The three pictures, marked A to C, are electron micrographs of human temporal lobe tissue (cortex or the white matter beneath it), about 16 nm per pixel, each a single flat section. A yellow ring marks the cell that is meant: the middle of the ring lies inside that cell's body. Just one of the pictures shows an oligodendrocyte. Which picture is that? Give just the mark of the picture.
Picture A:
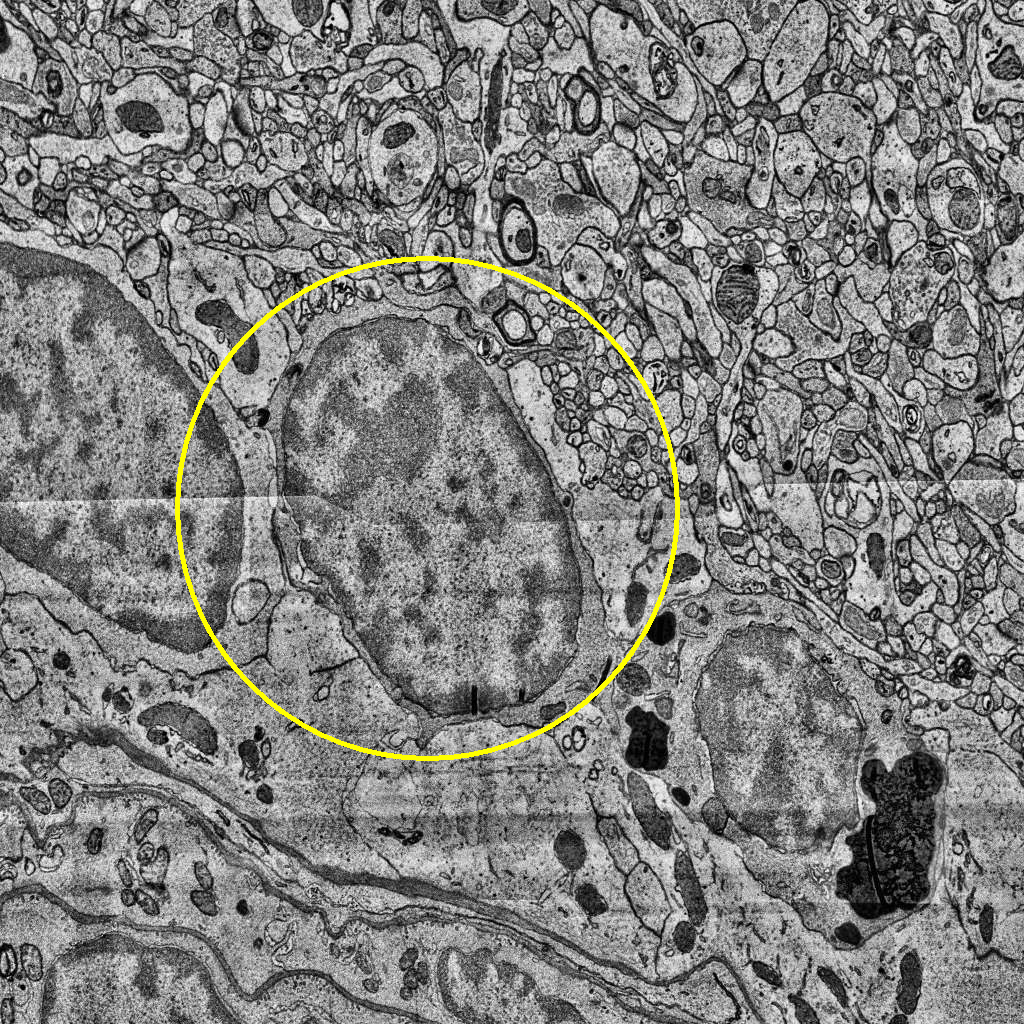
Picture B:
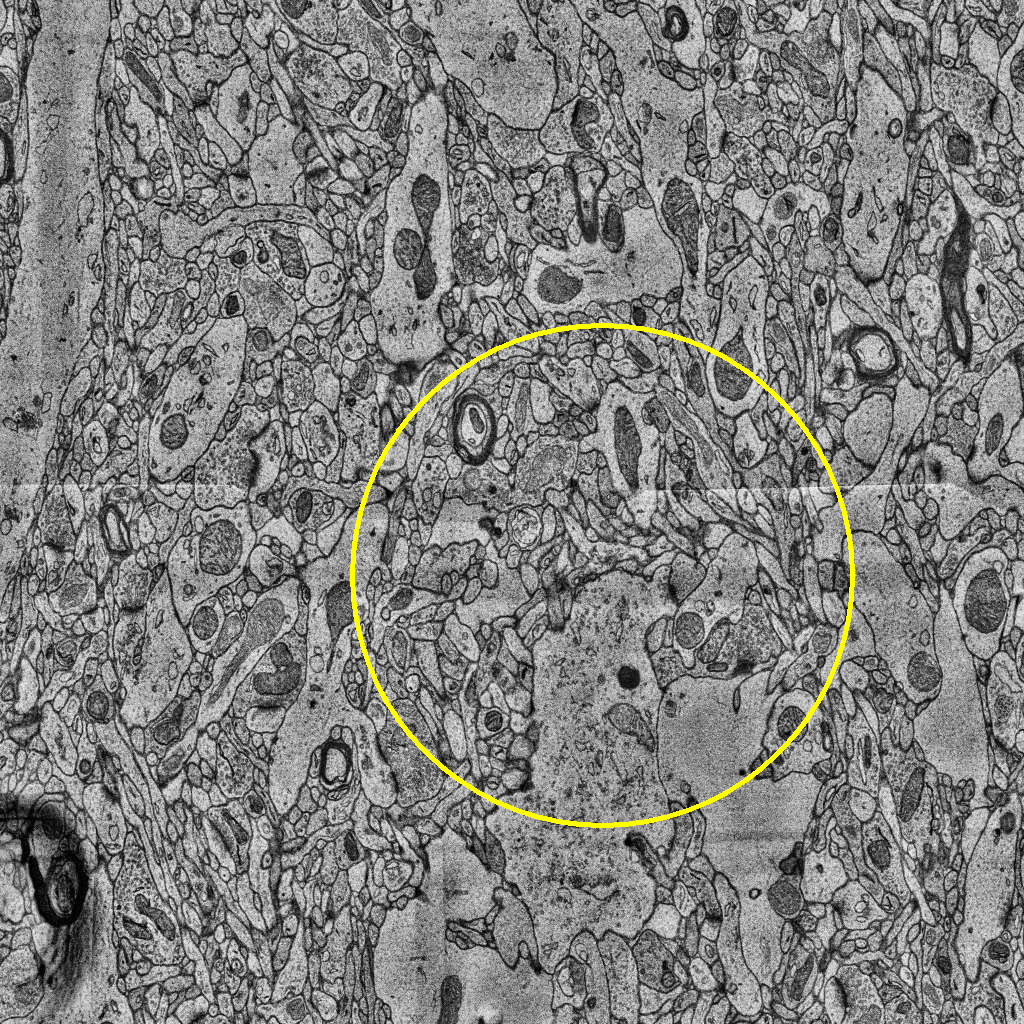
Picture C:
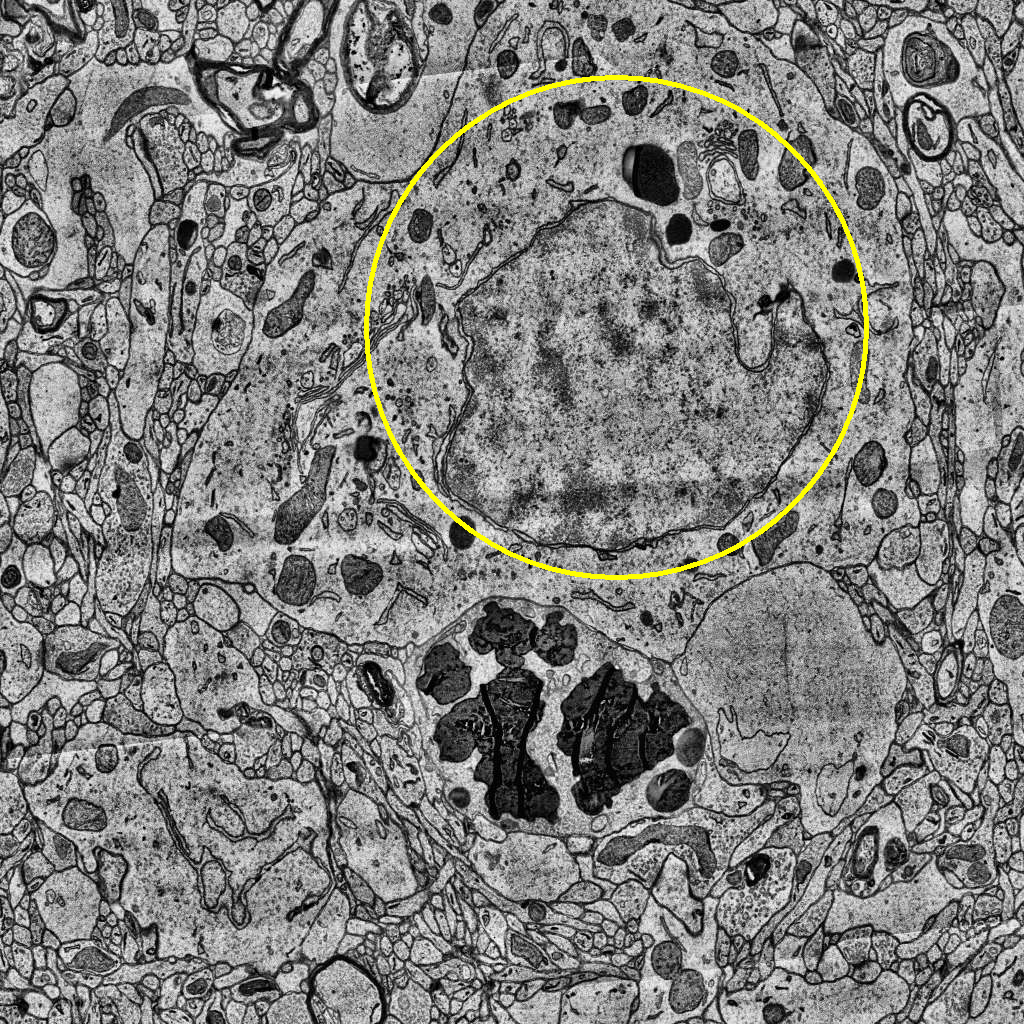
A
